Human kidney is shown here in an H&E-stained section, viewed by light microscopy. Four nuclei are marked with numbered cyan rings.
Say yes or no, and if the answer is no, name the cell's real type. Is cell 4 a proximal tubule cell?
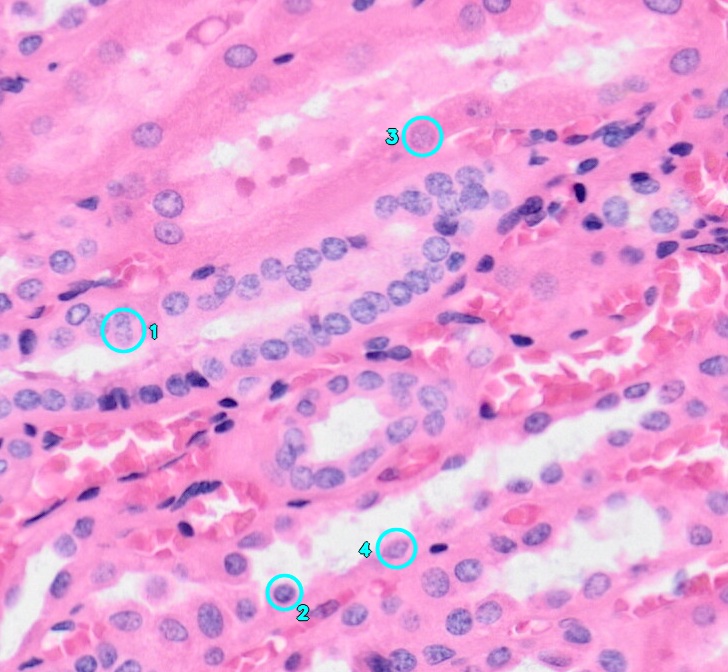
No, it is a loop of Henle or distal tubule cell.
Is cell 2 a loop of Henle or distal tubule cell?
Yes.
